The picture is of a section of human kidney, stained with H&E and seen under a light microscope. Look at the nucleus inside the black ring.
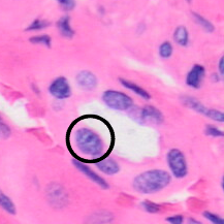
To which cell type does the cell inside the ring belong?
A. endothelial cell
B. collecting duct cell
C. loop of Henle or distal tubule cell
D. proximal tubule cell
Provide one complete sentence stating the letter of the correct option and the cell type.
In this case the cell inside the ring is a collecting duct cell, so option B is correct.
